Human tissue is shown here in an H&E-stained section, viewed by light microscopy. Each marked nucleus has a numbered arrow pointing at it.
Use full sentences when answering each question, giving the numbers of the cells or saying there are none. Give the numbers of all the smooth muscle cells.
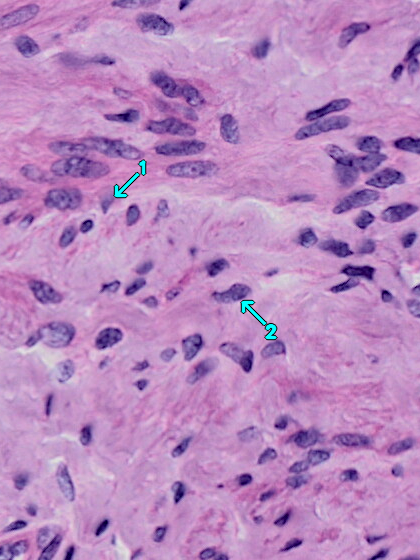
Only nucleus 1 belongs to a smooth muscle cell; the other numbered nuclei do not.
